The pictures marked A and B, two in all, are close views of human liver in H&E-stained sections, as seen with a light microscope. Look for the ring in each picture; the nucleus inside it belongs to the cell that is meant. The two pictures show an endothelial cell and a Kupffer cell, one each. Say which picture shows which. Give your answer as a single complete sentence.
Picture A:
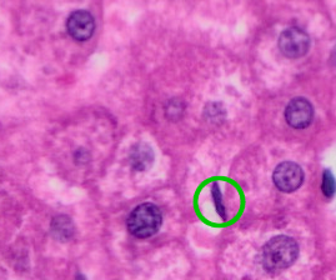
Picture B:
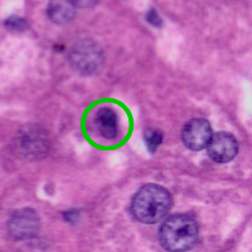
It is picture A that shows an endothelial cell, and picture B that shows a Kupffer cell.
